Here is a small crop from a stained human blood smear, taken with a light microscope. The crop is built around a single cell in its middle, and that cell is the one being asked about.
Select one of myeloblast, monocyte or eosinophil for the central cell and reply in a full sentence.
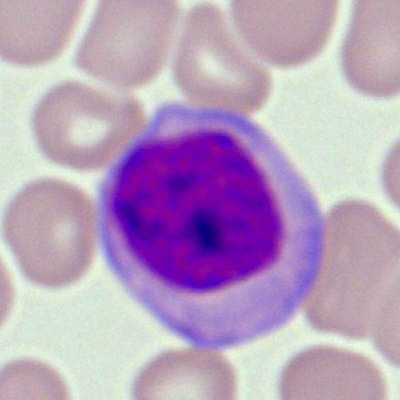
The crop's centre is taken up by a myeloblast.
